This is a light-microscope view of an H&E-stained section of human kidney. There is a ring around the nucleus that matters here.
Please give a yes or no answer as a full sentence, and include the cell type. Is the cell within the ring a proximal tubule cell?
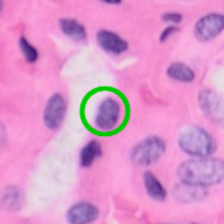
No, the cell within the ring does not represent a proximal tubule cell; it represents a loop of Henle or distal tubule cell.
